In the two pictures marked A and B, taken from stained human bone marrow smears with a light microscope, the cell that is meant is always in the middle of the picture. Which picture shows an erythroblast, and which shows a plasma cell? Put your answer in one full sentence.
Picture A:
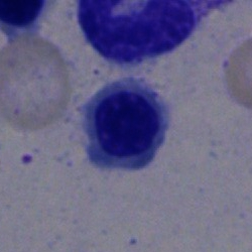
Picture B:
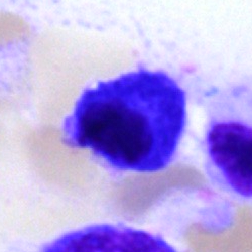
Picture A is of an erythroblast, and picture B is of a plasma cell.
